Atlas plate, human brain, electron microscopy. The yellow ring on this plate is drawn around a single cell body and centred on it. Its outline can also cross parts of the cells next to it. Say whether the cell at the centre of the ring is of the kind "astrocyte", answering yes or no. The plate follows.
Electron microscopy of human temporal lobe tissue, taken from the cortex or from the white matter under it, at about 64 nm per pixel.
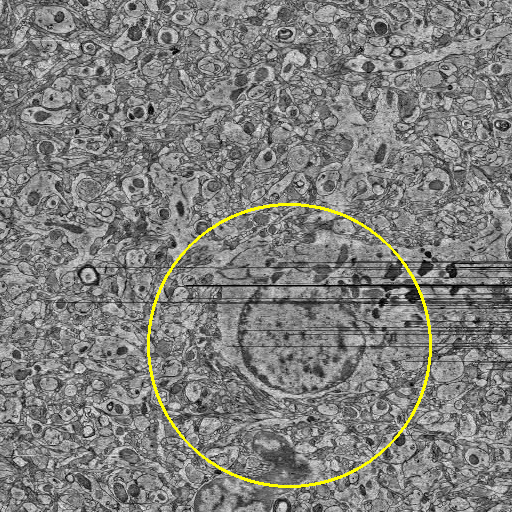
Yes, the cell is of that kind.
